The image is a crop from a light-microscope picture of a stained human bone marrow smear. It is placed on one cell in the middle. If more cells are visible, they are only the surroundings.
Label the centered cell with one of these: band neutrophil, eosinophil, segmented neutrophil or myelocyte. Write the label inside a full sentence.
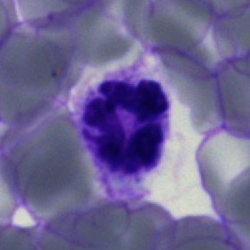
The center cell of this crop is a segmented neutrophil.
